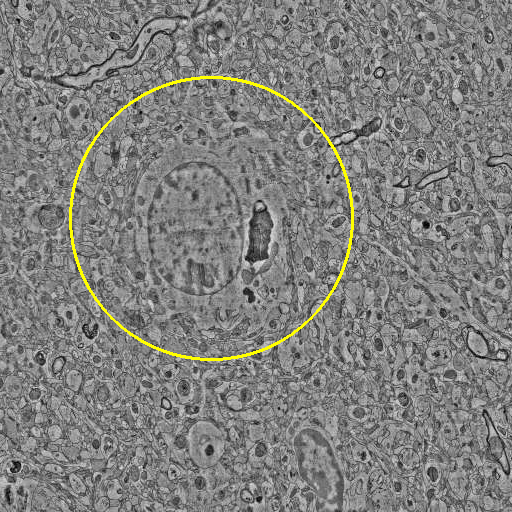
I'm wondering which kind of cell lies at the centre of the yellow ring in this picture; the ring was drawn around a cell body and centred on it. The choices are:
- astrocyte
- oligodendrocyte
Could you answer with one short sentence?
At the centre of the ring lies an astrocyte.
